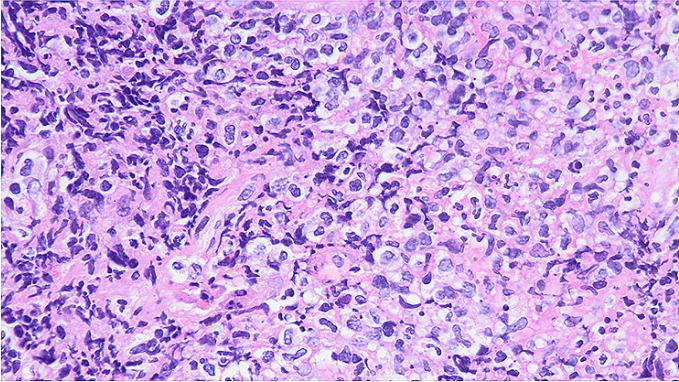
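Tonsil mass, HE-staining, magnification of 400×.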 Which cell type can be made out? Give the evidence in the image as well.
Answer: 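Sheets of large atypical cells with pale, clear-looking cytoplasm. The nuclei are irregular, distorted and variably hyperchromatic. Pink fibrillary material lies between the cells. On this evidence: Tumor cells.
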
